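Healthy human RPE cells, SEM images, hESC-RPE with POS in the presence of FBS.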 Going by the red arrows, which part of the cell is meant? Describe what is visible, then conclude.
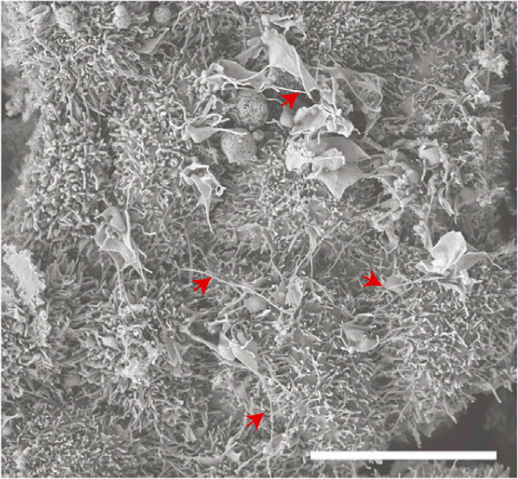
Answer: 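The arrows touch thin thread-like processes that run across the cell surface. These threads are far longer than the short, dense projections covering the surface.
Elongated microvilli.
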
